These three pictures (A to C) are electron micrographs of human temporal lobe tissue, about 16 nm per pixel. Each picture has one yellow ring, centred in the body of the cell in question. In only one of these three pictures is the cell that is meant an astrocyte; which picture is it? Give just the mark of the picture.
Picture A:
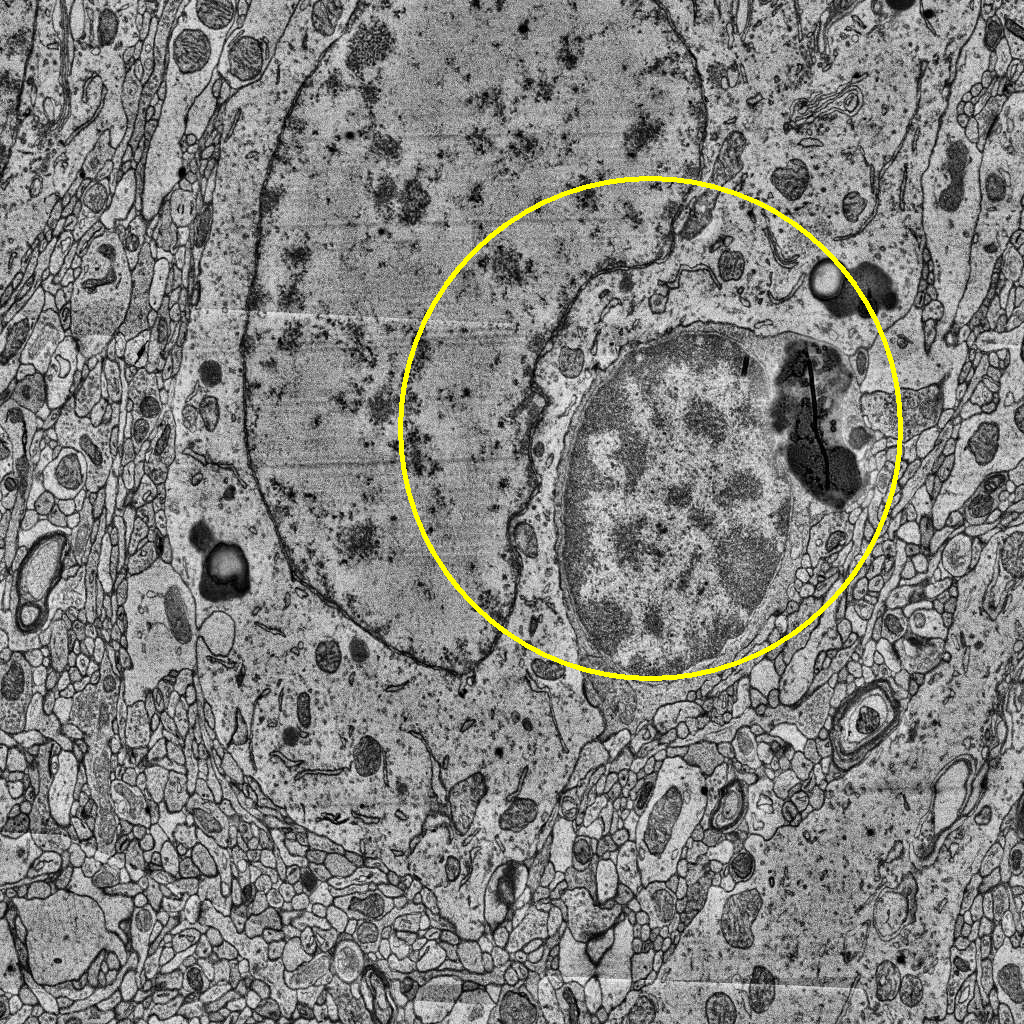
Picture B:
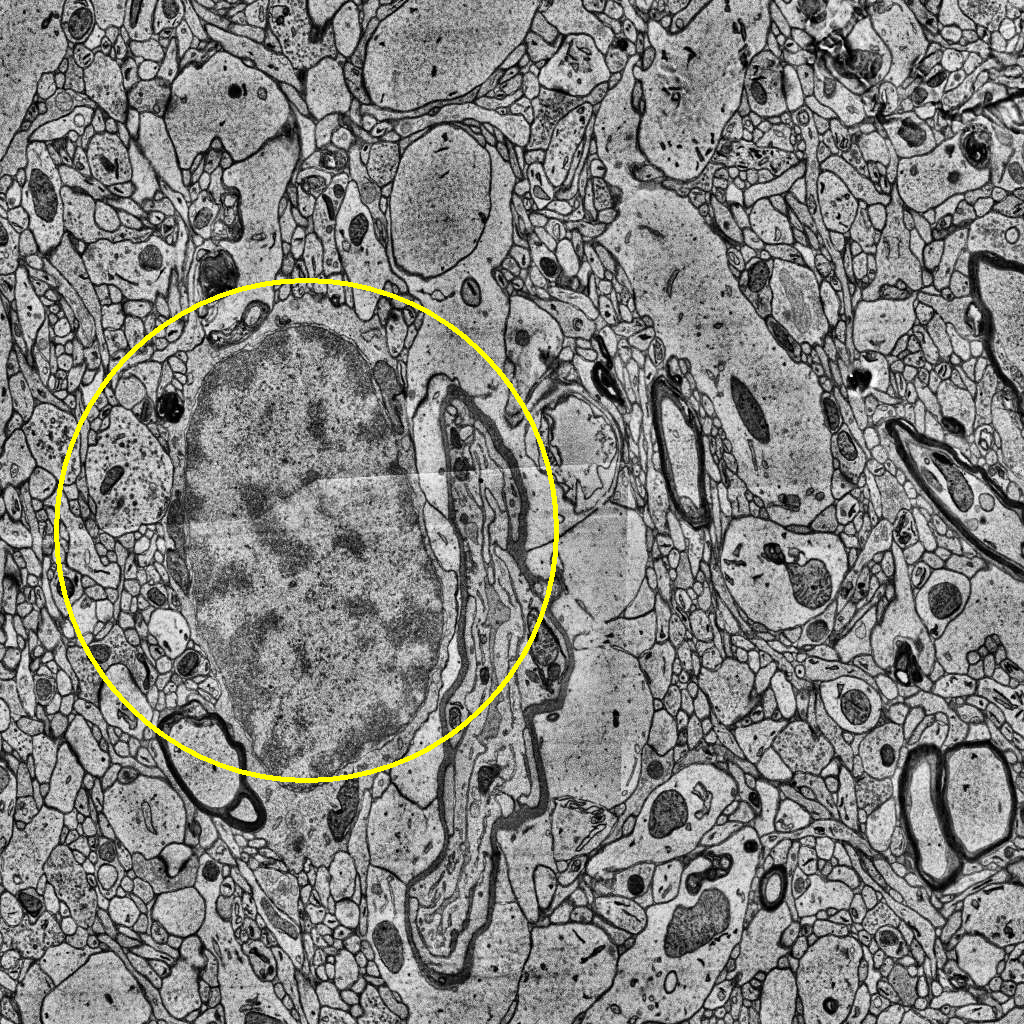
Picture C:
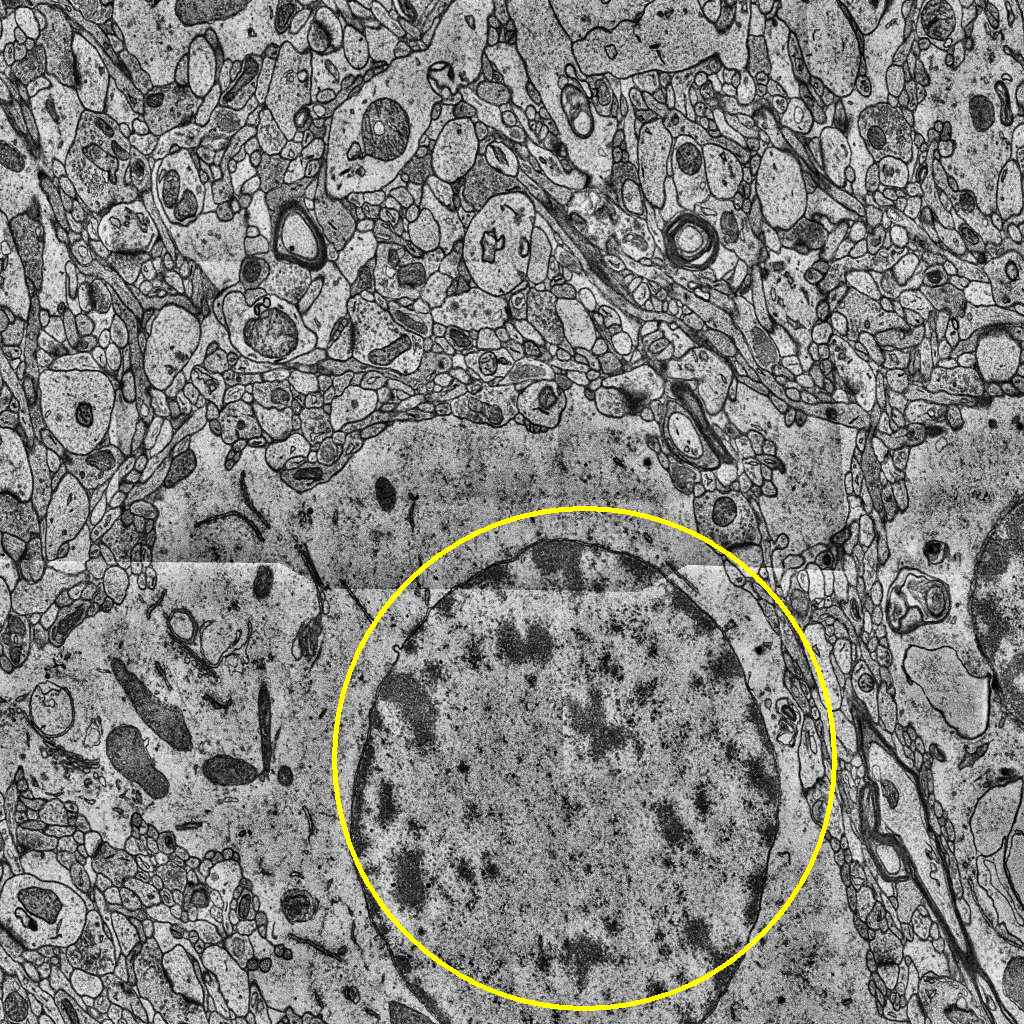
C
